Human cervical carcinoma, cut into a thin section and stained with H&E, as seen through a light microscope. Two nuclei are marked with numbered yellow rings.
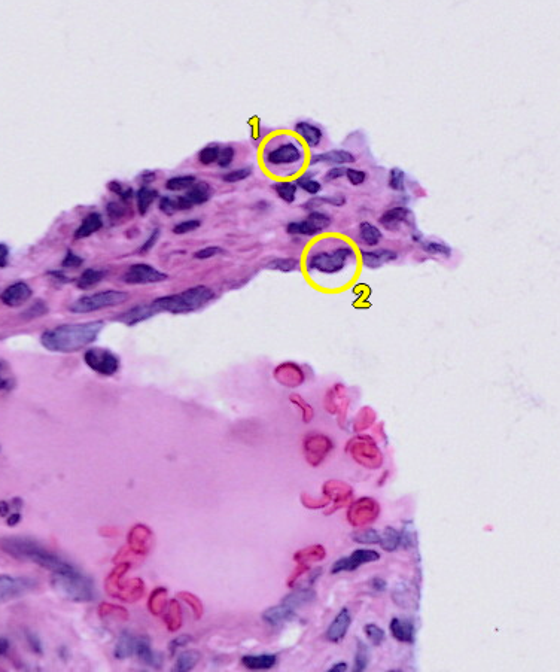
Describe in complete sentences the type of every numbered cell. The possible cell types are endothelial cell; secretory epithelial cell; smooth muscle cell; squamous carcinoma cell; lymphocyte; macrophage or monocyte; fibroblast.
Cell 1 is a lymphocyte. Cell 2 is an endothelial cell.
